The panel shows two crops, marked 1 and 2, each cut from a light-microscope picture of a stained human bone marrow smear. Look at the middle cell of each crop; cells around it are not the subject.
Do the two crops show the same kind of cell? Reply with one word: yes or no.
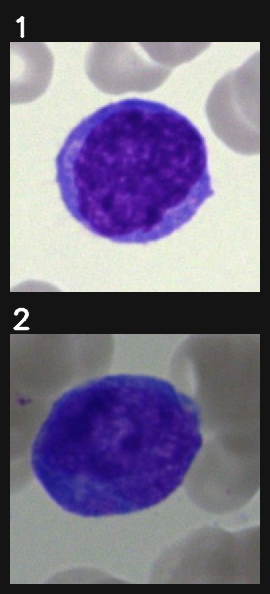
yes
